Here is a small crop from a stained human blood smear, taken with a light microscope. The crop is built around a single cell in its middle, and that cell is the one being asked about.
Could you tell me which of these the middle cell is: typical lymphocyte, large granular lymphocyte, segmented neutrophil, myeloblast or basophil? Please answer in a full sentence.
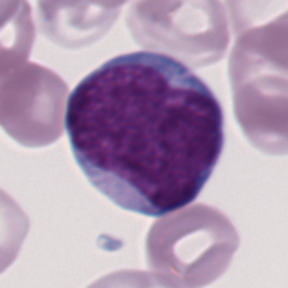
The centered cell in this crop is a myeloblast.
